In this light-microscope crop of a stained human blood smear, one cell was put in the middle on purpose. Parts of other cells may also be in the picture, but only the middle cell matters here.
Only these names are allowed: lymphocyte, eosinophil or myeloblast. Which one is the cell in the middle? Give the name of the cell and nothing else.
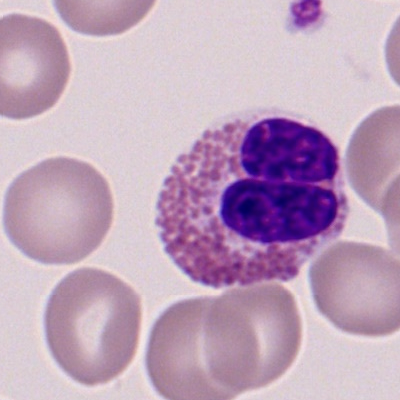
eosinophil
